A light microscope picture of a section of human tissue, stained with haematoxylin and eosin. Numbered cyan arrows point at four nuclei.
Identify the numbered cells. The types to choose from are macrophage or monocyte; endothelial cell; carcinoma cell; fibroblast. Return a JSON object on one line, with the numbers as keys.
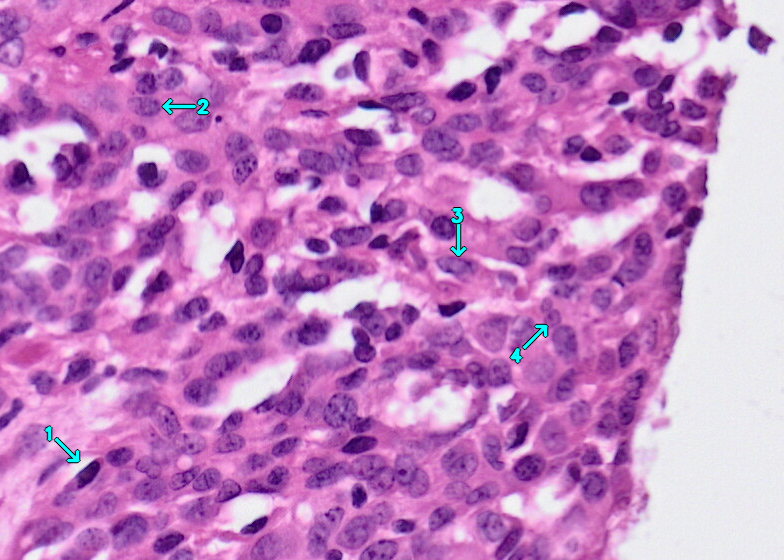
{"1": "carcinoma cell", "2": "carcinoma cell", "3": "endothelial cell", "4": "carcinoma cell"}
